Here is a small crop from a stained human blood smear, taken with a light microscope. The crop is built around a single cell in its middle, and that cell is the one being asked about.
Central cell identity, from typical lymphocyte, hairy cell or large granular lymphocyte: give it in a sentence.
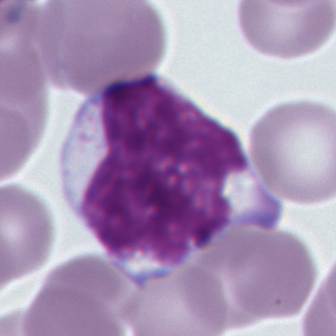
This crop has a large granular lymphocyte at its centre.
